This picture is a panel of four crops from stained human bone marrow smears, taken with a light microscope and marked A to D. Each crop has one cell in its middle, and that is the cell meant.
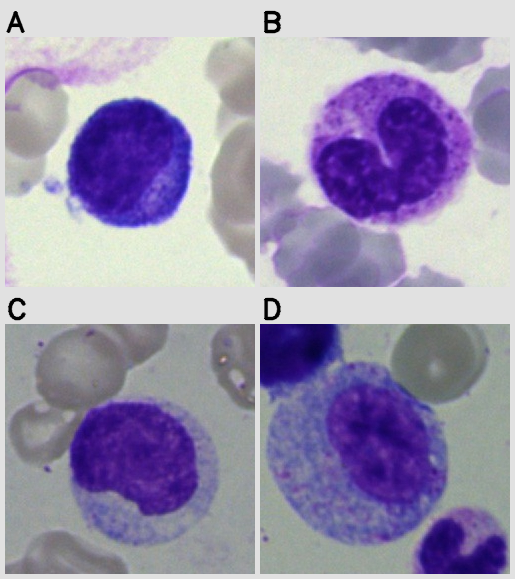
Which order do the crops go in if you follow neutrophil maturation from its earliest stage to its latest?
A, D, C, B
